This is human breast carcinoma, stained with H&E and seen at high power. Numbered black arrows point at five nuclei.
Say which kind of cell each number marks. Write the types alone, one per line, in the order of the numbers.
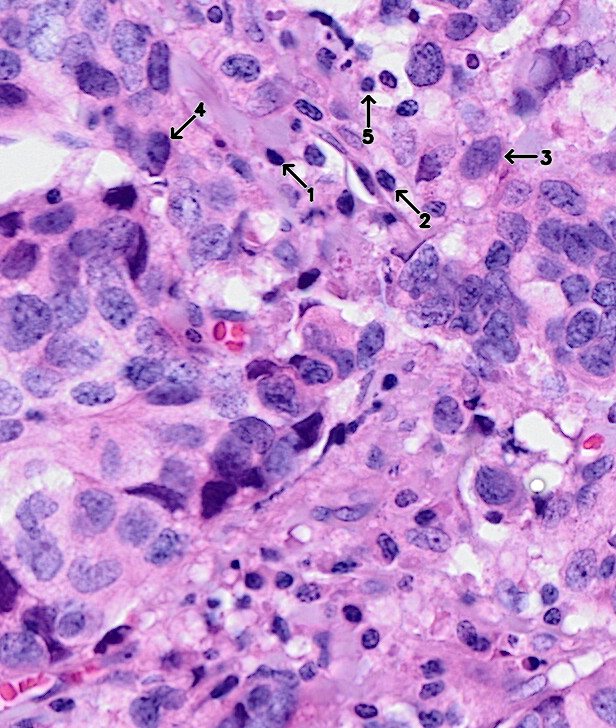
lymphocyte
lymphocyte
carcinoma cell
carcinoma cell
lymphocyte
